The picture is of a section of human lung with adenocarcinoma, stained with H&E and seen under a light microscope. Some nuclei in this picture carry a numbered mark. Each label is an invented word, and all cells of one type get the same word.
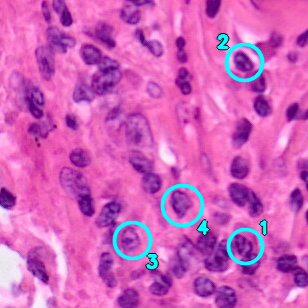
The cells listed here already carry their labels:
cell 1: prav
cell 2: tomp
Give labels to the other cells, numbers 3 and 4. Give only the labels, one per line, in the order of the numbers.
prav
tomp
